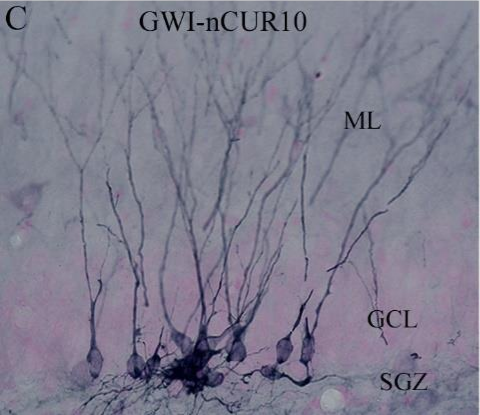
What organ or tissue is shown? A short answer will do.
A: hippocampus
